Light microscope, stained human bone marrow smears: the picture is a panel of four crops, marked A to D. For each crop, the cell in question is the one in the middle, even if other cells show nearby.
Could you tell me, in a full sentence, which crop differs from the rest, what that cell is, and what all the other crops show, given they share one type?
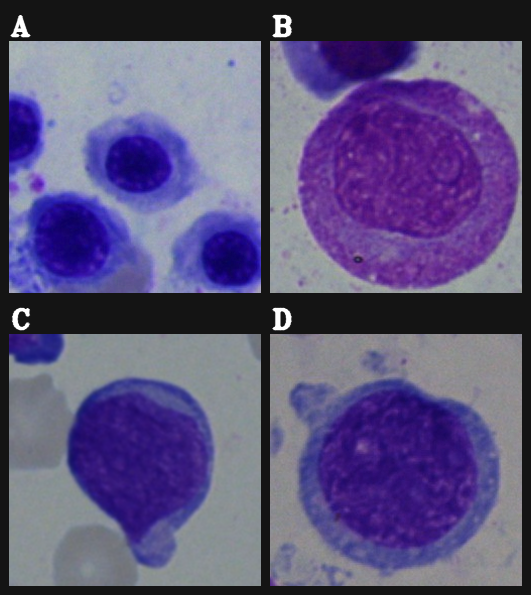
What sets crop A apart is that it shows an erythroblast, while the others show blasts.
